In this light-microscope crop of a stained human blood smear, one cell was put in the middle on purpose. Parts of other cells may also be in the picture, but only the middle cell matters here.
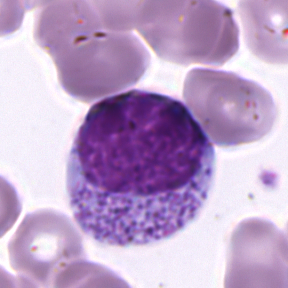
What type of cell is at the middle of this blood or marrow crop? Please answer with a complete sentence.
The cell featured at the centre of this crop is a myelocyte.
